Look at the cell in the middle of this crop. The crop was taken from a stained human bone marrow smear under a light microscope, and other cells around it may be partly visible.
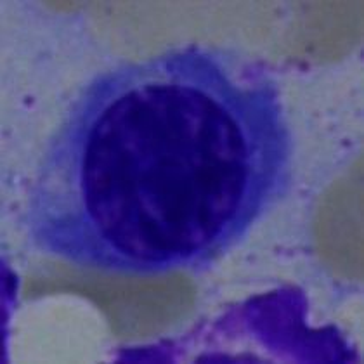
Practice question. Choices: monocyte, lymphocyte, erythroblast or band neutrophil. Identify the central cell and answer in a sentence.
In the middle of this smear crop, the cell is an erythroblast.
